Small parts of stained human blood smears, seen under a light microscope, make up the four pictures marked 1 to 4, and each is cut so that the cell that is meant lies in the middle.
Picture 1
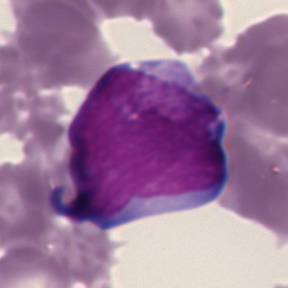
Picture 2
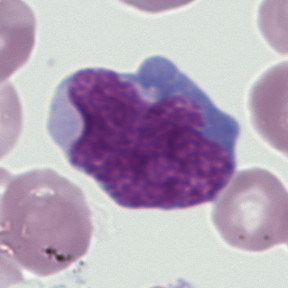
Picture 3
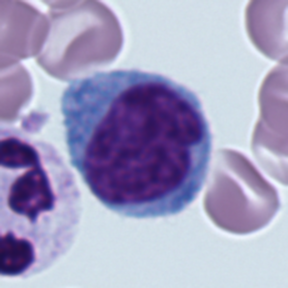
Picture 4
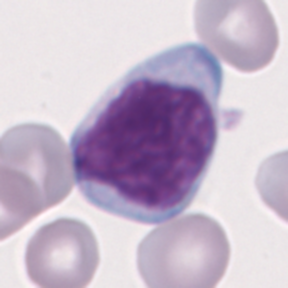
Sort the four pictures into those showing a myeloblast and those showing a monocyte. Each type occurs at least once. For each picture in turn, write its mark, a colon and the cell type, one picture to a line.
1: myeloblast
2: myeloblast
3: monocyte
4: myeloblast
